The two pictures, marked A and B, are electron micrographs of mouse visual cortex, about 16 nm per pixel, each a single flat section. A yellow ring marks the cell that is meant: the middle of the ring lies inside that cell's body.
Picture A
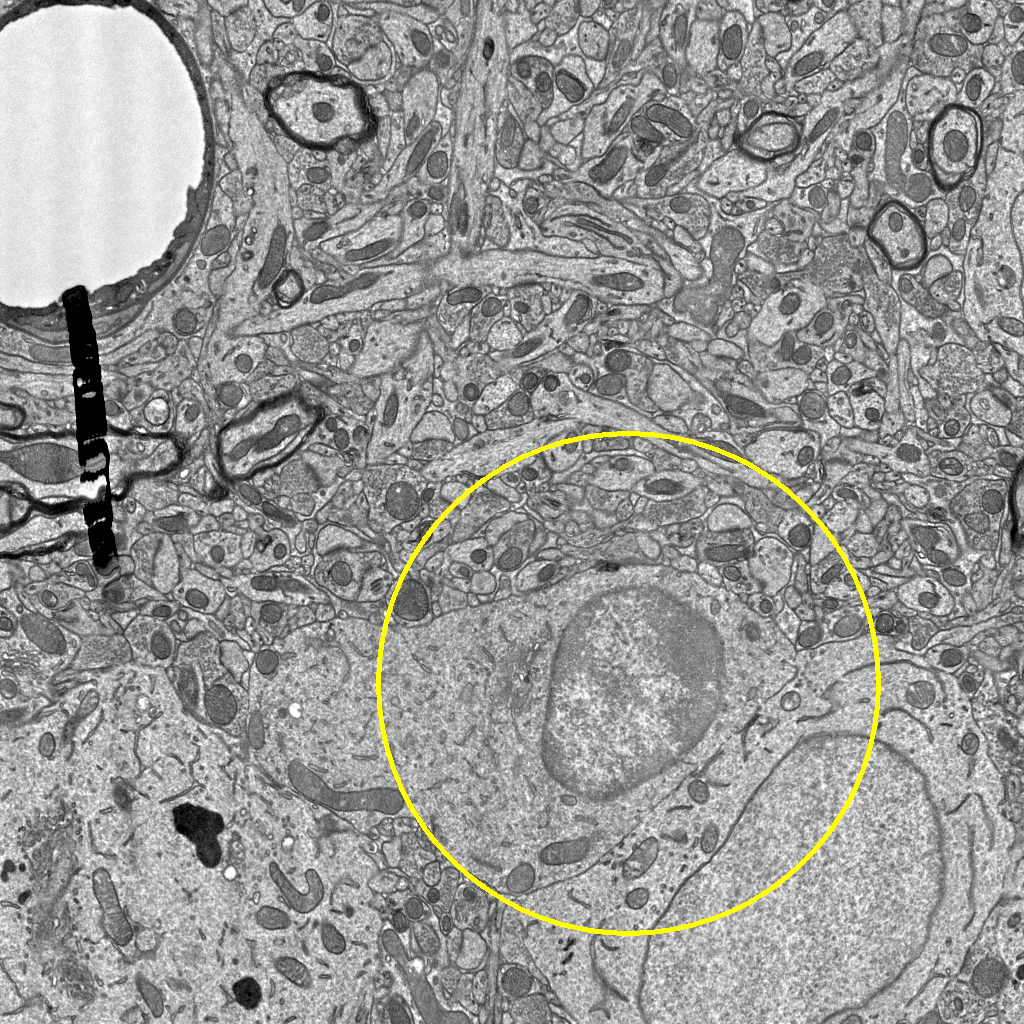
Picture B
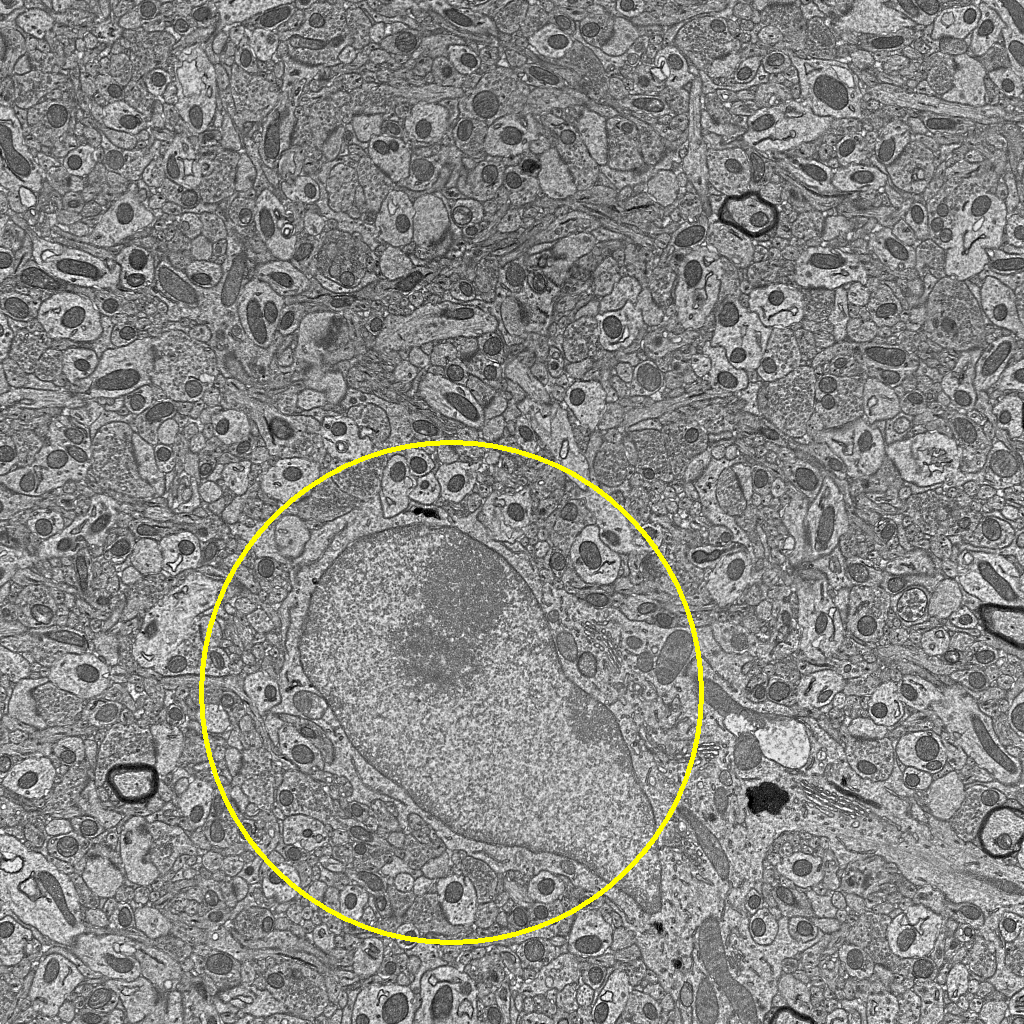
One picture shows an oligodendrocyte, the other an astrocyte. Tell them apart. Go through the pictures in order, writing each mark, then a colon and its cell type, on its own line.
A: oligodendrocyte
B: astrocyte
